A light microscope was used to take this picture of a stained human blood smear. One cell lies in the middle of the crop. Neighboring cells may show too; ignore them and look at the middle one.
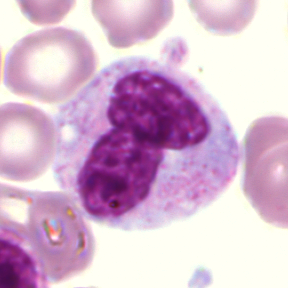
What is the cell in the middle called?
band neutrophil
